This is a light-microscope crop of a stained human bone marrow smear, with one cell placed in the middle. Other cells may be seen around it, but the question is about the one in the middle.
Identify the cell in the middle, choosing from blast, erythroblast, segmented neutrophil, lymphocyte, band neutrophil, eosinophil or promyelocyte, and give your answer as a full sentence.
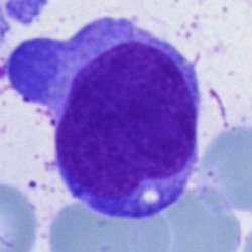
In the crop, the cell of interest at the centre is a blast.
